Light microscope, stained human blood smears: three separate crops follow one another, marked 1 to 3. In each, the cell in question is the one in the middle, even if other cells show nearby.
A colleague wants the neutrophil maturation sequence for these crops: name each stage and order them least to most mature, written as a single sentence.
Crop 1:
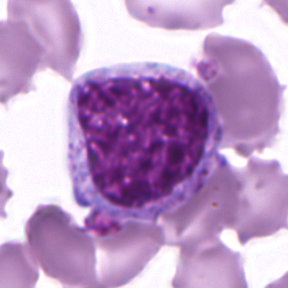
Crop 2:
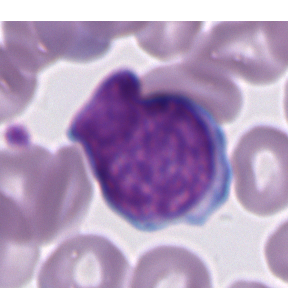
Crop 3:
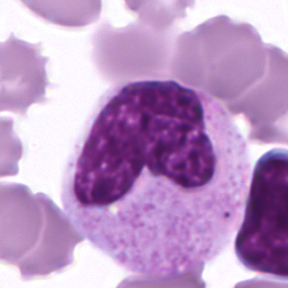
Listed from least to most mature, the crops read crop 2 (a myeloblast), crop 1 (a myelocyte) and crop 3 (a band neutrophil).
